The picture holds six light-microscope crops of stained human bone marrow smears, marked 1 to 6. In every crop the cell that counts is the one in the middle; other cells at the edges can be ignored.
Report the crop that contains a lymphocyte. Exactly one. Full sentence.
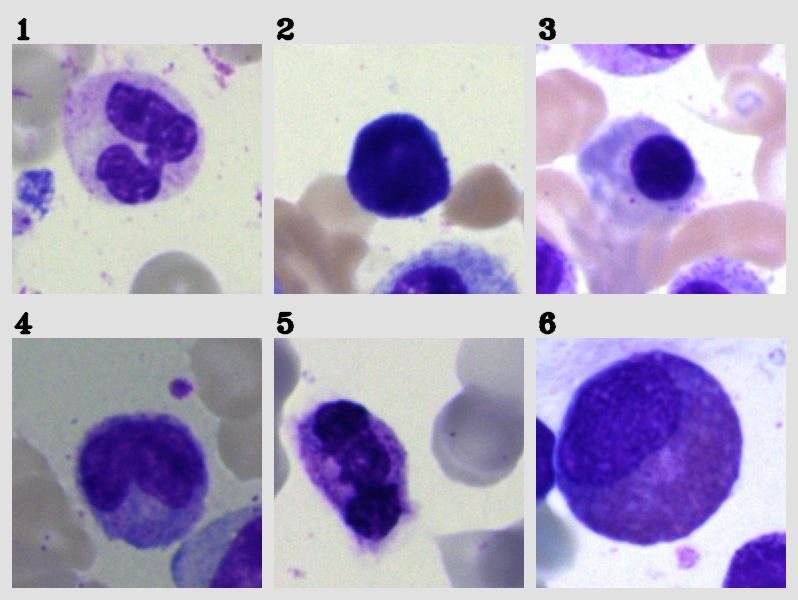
The one showing a lymphocyte is crop 2.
